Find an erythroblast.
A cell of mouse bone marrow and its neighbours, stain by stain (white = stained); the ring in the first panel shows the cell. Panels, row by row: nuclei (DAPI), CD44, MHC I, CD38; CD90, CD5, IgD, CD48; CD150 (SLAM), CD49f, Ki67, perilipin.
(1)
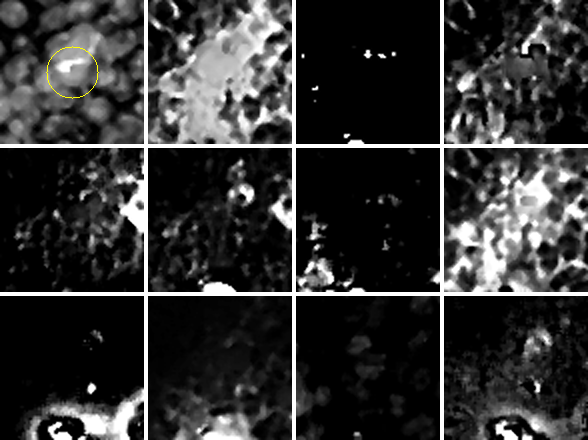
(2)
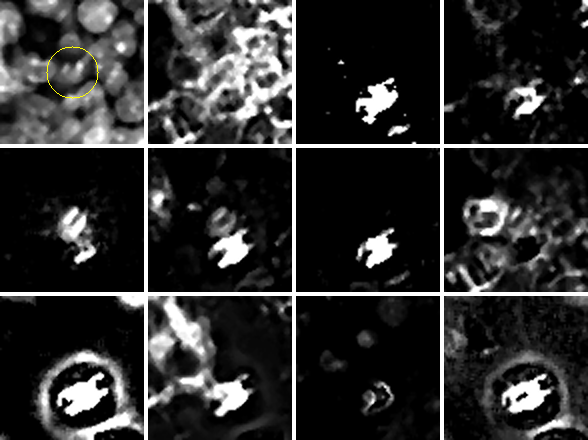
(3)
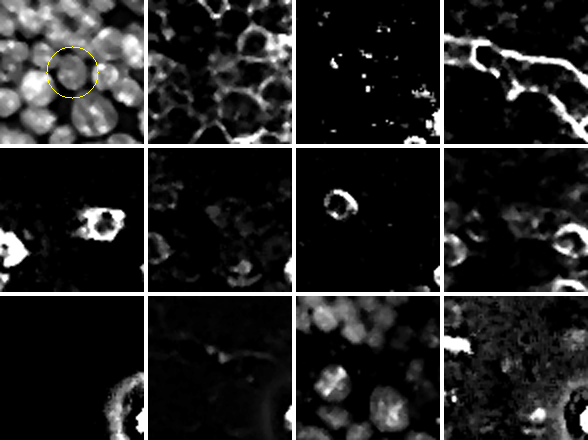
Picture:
1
